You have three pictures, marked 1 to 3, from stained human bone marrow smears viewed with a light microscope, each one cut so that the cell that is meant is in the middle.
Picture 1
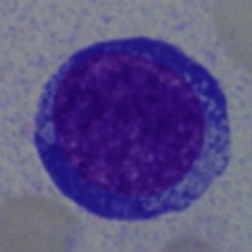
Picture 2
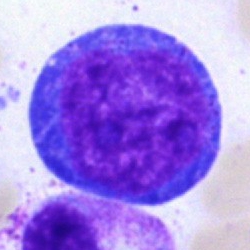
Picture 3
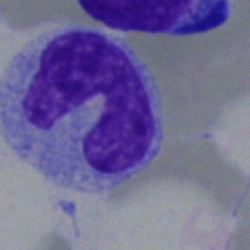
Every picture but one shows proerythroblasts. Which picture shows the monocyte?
3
